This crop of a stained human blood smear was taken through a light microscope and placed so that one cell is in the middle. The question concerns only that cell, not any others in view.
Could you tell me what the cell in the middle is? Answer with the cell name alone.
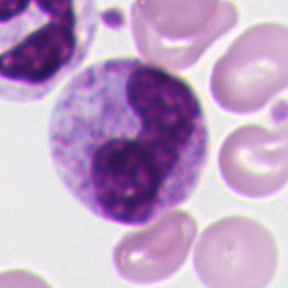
band neutrophil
